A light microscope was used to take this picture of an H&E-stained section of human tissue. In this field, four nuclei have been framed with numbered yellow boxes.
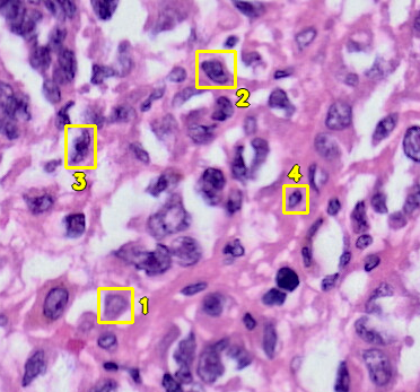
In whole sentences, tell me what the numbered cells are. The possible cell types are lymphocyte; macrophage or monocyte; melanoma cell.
Cell 1 is a melanoma cell, cell 2 is a macrophage or monocyte, cell 3 is a melanoma cell and cell 4 is a lymphocyte.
